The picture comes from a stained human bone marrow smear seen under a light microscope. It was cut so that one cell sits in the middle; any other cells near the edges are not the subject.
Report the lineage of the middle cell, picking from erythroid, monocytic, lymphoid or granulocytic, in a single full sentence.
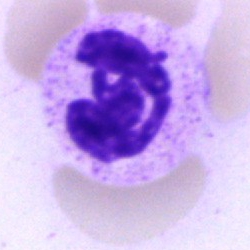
The cell at the center belongs, by lineage, to the granulocytic line.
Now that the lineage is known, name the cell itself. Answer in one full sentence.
In the centre of this crop there is a segmented neutrophil.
